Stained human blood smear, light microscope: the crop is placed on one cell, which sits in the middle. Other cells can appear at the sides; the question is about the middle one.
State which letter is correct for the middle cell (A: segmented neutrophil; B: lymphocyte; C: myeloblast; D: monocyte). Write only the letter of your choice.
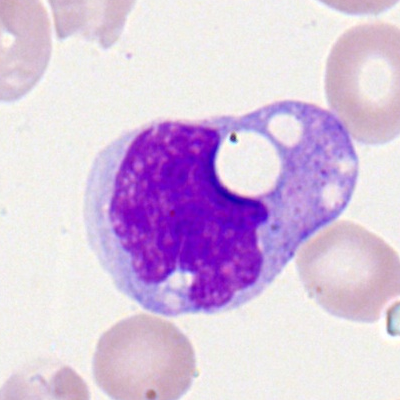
D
